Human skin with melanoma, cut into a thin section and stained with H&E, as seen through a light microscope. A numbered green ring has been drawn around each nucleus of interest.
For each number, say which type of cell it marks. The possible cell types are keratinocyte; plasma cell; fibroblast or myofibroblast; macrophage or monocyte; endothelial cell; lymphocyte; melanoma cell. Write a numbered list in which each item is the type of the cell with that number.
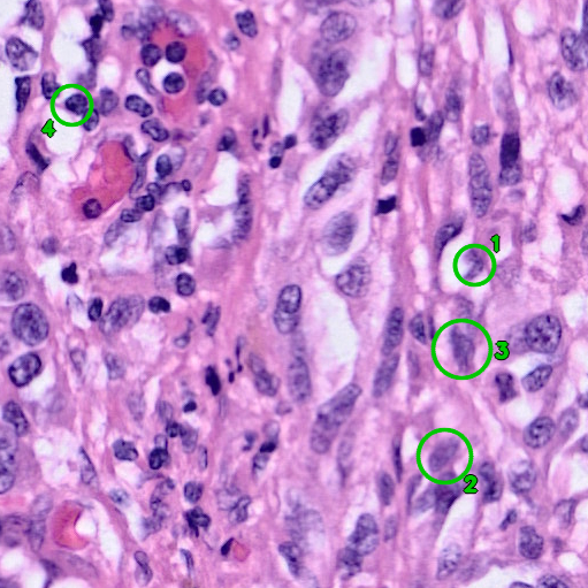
1. melanoma cell
2. melanoma cell
3. melanoma cell
4. lymphocyte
